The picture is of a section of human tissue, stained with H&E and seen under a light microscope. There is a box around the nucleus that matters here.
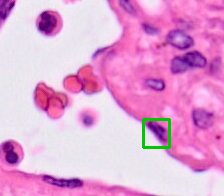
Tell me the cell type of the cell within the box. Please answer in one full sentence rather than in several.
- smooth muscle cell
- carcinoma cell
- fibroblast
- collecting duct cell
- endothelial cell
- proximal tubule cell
So far as cell type goes, the cell within the box is an endothelial cell.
